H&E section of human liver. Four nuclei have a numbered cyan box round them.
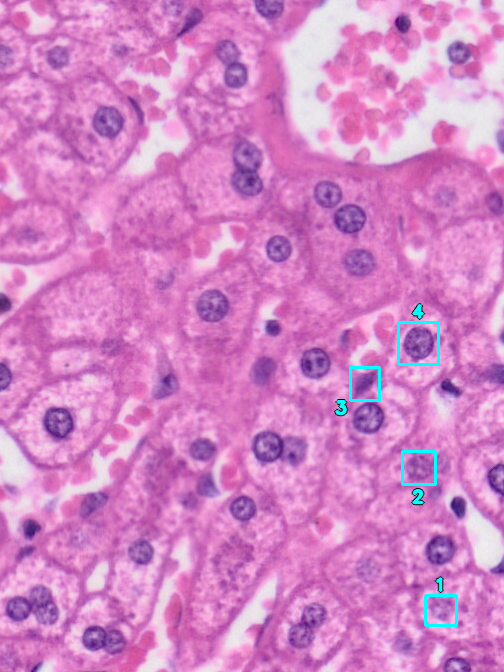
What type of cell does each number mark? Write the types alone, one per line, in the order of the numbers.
hepatocyte
hepatocyte
fibroblast or stellate cell
hepatocyte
